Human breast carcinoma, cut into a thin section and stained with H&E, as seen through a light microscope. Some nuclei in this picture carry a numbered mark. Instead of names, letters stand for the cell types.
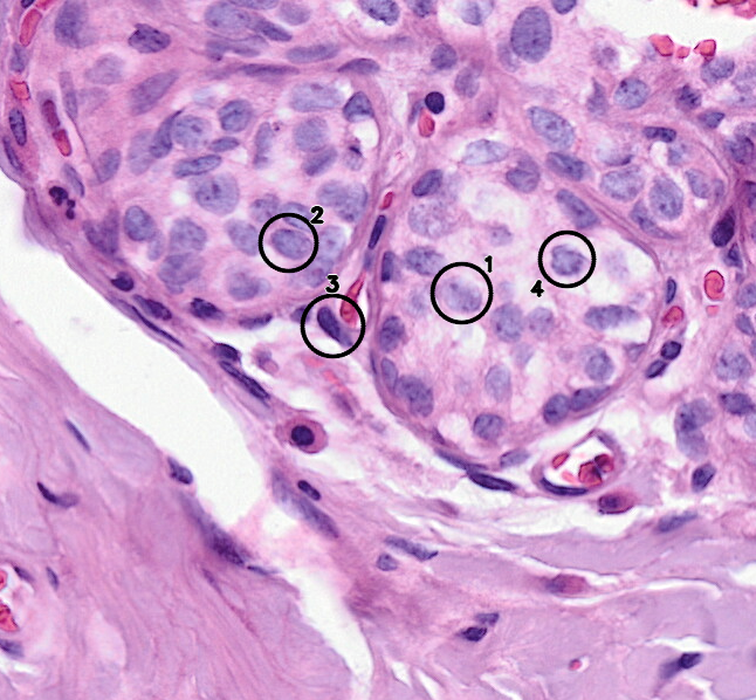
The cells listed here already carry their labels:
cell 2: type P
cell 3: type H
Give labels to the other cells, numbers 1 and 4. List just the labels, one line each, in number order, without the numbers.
type P
type P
